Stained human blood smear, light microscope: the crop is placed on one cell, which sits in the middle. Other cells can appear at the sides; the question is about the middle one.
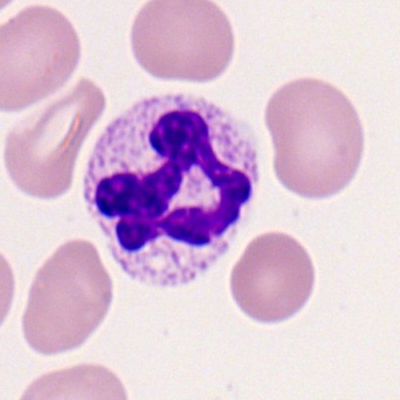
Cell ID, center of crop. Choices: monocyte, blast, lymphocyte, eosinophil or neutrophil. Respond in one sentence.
What the crop centres on is a neutrophil.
